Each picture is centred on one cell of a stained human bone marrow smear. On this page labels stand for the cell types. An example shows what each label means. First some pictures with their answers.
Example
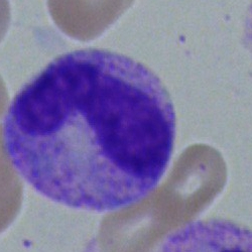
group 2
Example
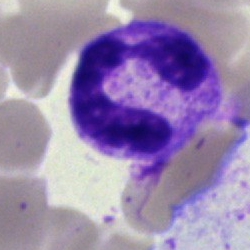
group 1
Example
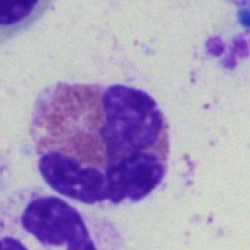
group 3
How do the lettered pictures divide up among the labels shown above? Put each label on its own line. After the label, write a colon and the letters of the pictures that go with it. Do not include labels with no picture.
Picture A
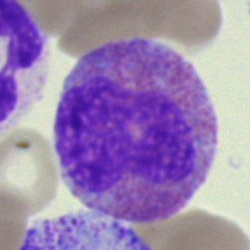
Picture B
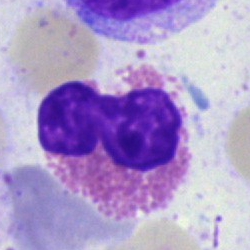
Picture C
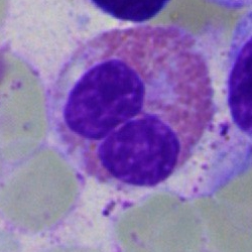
group 3: A, B, C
